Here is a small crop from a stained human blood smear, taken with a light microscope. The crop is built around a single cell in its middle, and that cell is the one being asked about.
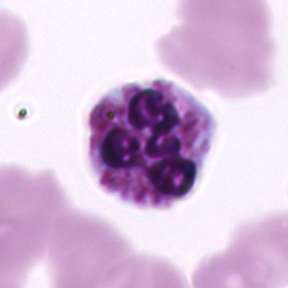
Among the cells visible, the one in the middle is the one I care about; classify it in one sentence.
In this crop, the cell at the very middle is an eosinophil.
